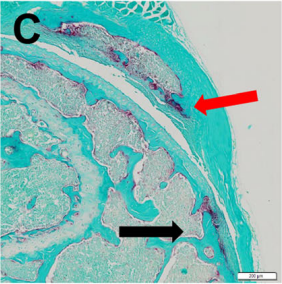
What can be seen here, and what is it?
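This is a section through a joint, with a thin plate of bone above, a curved pale joint space, and a larger rounded bone below whose interior is divided into marrow spaces by green-stained bony struts. Magenta-purple deposits lie along the edges of the upper bone plate and along the surface of the lower bone near the joint margin. Bone and cartilage take a green counterstain, while the marrow spaces appear pale and granular.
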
